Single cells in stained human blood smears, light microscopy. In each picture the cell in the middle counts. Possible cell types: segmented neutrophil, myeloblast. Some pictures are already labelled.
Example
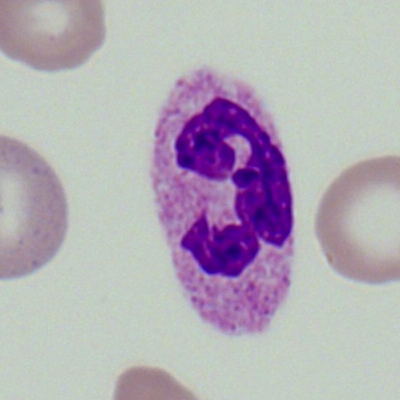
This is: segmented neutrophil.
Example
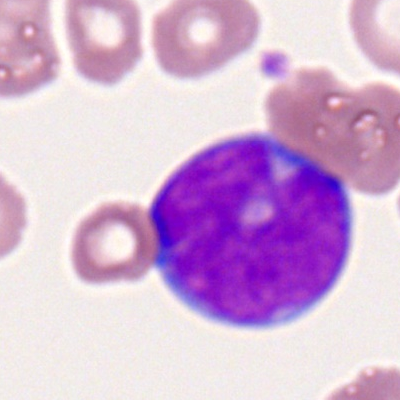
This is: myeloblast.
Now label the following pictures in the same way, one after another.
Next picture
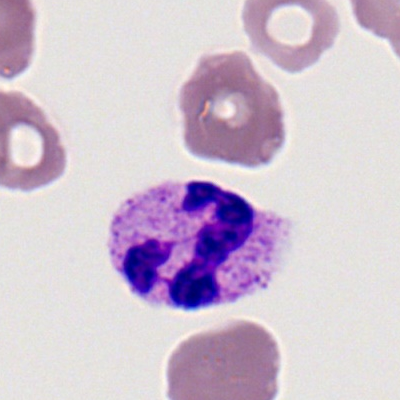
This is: segmented neutrophil.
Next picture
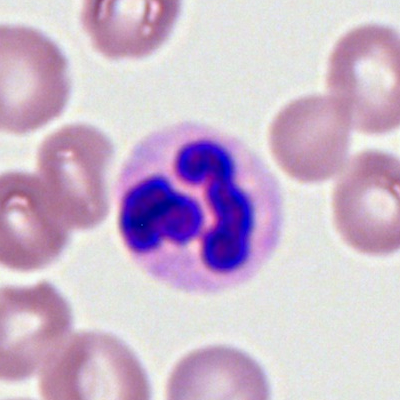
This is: segmented neutrophil.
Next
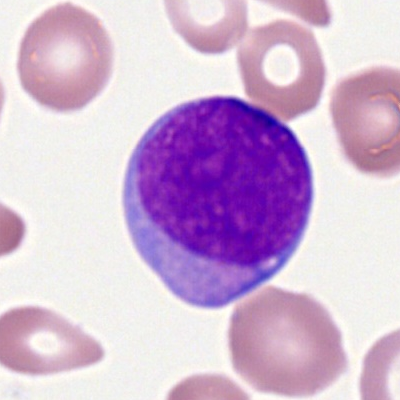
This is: myeloblast.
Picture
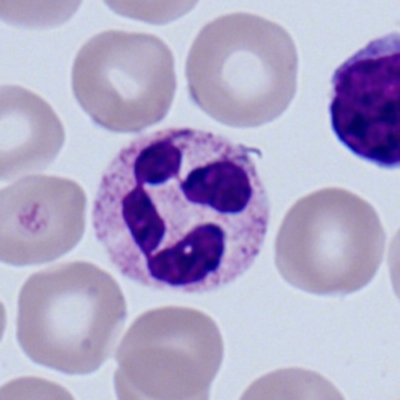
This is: segmented neutrophil.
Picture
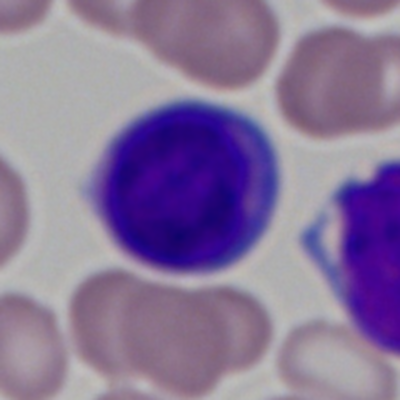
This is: myeloblast.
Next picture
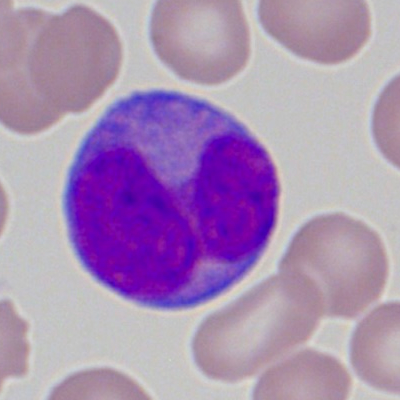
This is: myeloblast.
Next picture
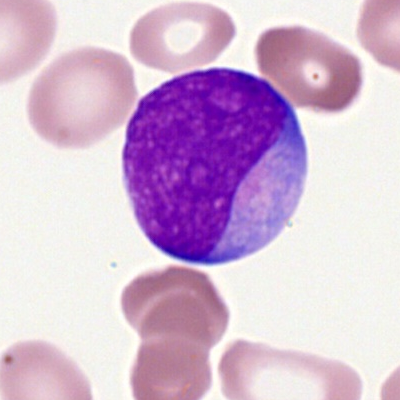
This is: myeloblast.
